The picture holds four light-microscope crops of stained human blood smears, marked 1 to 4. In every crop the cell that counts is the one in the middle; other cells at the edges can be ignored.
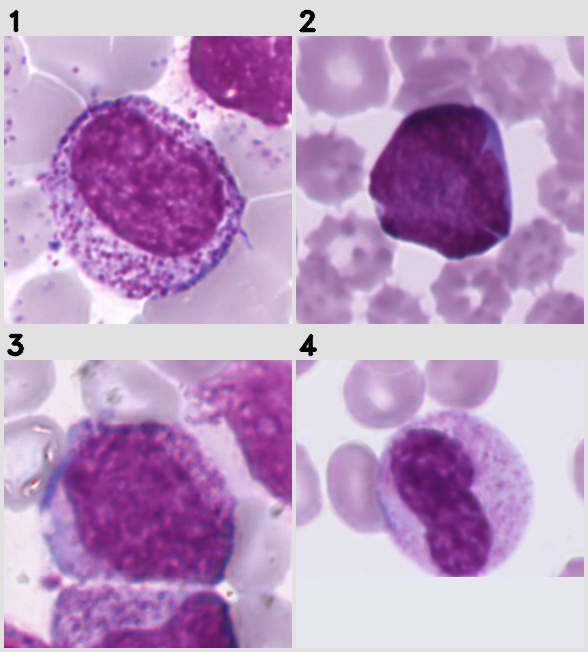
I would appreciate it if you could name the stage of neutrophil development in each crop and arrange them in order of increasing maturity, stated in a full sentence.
Lined up by maturity, least mature to most mature, they are crop 2 (a blast), crop 3 (a promyelocyte), crop 1 (a myelocyte) and crop 4 (a band neutrophil).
